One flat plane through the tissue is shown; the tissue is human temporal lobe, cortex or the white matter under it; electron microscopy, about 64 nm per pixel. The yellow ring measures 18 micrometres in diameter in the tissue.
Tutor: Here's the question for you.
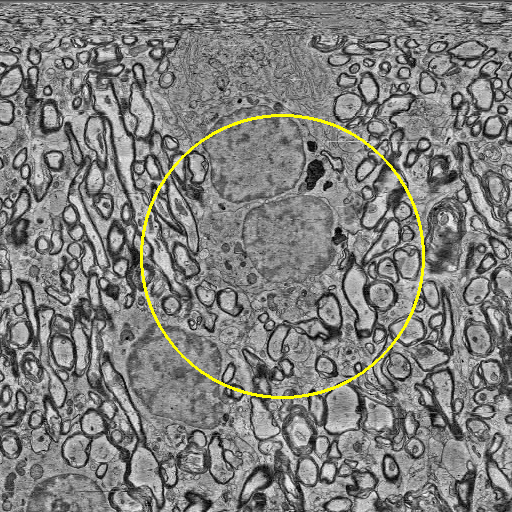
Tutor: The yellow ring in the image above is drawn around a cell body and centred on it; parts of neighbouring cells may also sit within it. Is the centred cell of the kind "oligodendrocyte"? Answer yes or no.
yes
